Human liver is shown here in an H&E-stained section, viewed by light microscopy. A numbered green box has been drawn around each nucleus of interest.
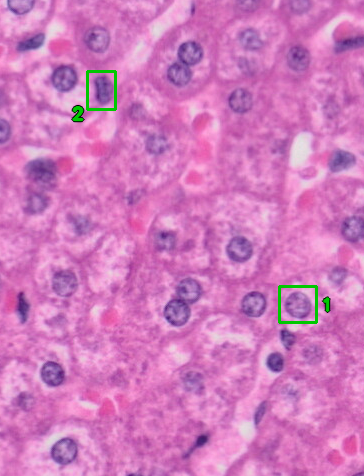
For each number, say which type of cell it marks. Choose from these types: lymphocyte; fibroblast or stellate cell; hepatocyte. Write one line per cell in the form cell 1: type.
cell 1: hepatocyte
cell 2: fibroblast or stellate cell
